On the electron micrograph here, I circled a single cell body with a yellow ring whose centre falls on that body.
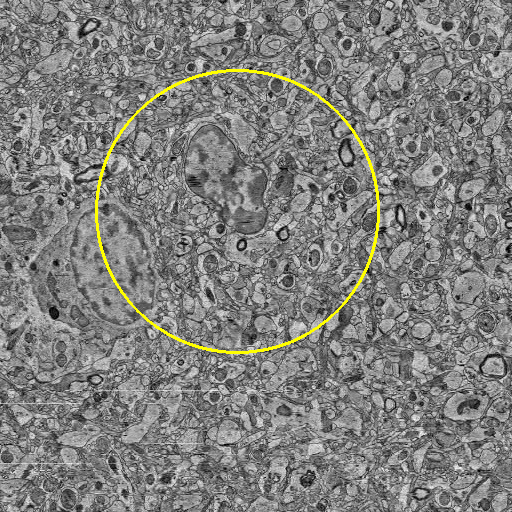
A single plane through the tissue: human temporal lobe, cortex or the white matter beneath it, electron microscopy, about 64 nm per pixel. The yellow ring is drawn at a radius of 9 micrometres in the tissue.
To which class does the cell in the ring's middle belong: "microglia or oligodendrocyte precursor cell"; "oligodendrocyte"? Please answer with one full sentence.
In this picture, the cell body circled at the ring's centre belongs to a microglial cell or oligodendrocyte precursor cell.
